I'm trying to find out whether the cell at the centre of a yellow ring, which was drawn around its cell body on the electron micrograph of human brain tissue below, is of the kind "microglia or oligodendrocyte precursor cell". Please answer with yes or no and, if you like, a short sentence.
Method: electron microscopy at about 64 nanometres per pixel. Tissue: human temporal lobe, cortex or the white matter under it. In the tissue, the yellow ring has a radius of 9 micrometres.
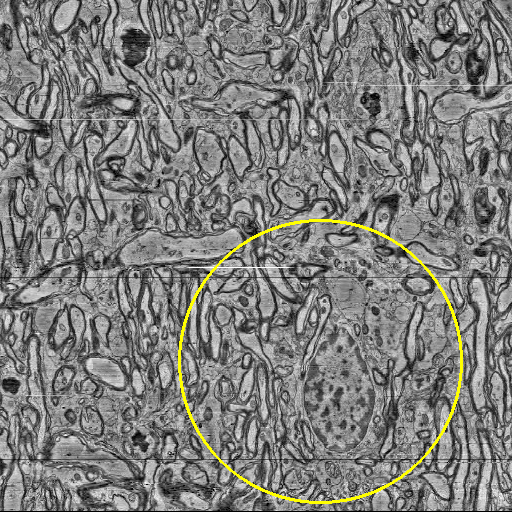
Yes, that cell is of the given kind.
